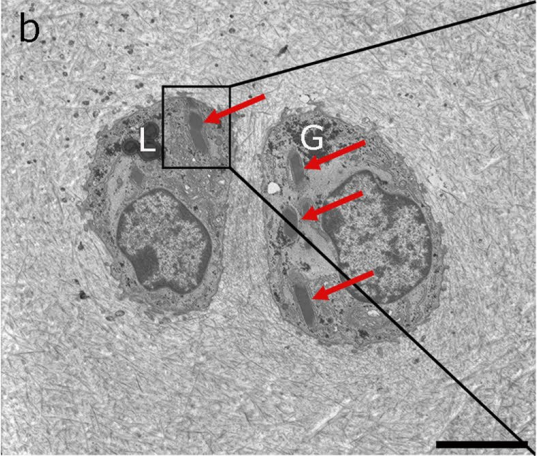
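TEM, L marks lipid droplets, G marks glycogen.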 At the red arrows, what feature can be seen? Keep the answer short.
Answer: Protein crystals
